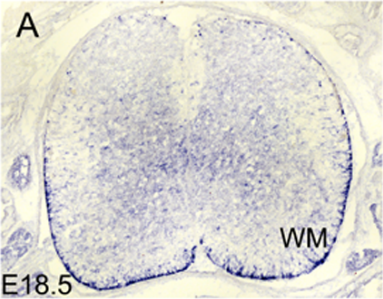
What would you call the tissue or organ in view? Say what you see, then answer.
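Spinal cord. Oval transverse section with a midline dorsal septum and a ventral median fissure.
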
